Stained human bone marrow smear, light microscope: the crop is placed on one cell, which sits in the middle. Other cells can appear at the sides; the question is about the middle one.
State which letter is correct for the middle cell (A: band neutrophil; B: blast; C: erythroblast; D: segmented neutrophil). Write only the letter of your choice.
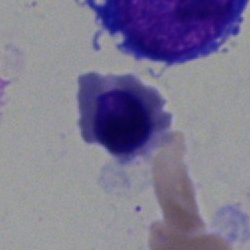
C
